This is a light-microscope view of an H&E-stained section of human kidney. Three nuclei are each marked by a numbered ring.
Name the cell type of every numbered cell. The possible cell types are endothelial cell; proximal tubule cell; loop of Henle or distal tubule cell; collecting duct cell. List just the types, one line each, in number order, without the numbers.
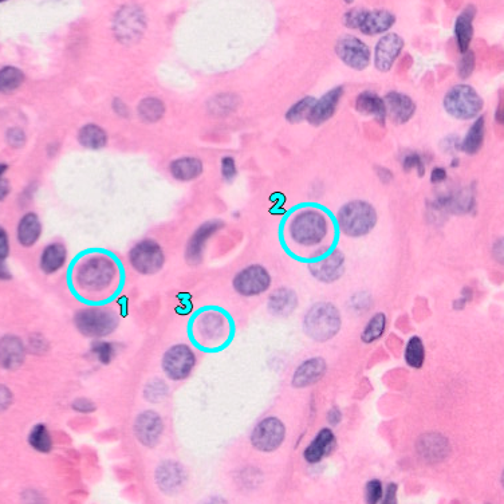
loop of Henle or distal tubule cell
collecting duct cell
collecting duct cell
